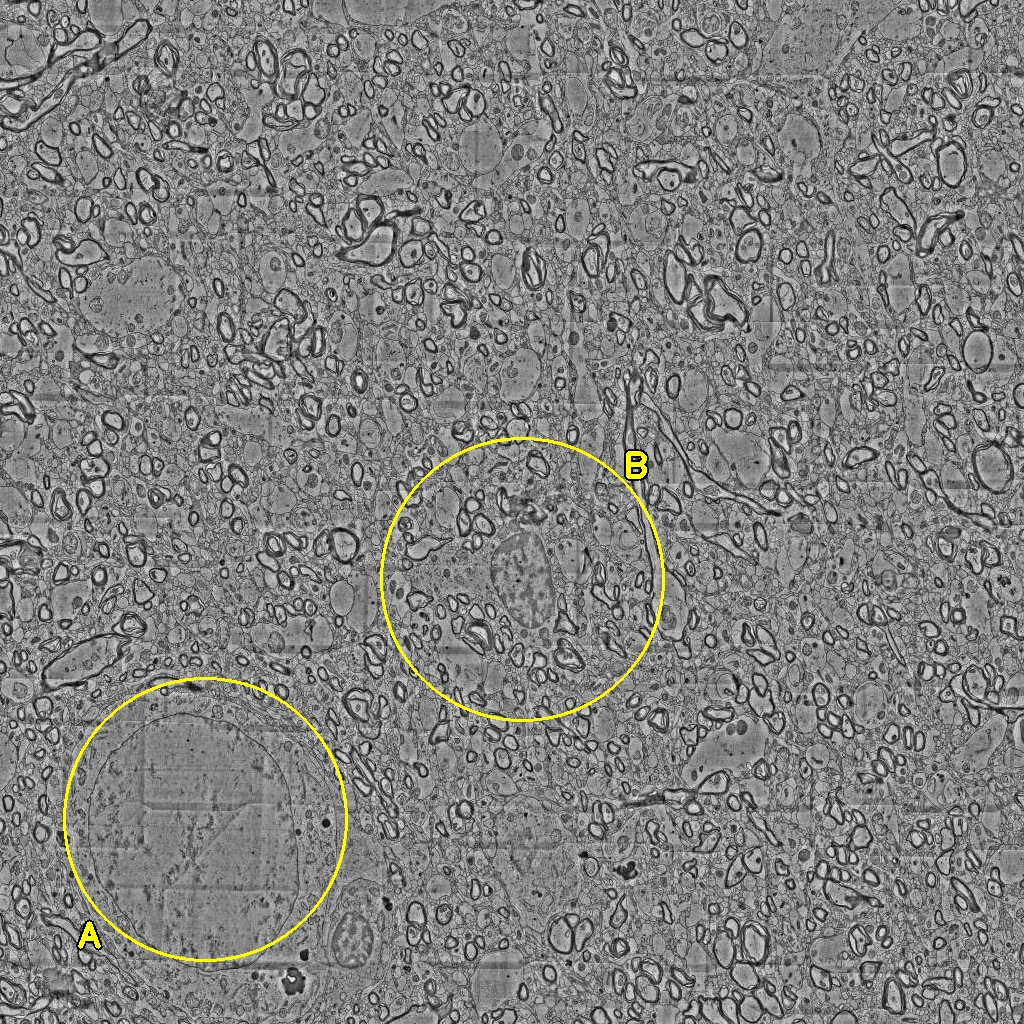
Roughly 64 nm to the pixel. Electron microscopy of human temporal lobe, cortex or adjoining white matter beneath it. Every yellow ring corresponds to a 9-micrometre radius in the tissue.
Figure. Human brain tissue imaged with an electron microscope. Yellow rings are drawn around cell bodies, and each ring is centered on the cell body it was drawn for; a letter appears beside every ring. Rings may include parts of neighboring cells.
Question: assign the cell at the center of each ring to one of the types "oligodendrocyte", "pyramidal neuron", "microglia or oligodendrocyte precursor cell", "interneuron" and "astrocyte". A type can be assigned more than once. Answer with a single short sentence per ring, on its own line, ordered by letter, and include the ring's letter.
Centered in ring A is a pyramidal neuron.
Centered in ring B is an oligodendrocyte.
